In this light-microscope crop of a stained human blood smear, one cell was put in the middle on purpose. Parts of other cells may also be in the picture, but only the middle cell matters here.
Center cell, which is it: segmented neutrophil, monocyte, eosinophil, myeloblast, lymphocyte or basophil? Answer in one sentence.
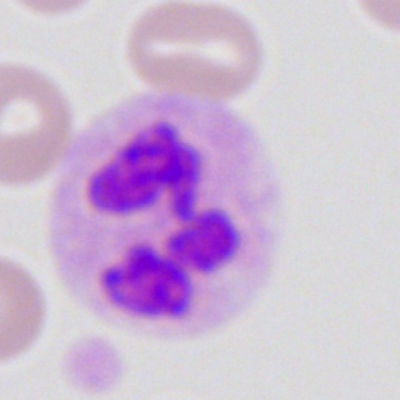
What the crop centres on is a segmented neutrophil.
